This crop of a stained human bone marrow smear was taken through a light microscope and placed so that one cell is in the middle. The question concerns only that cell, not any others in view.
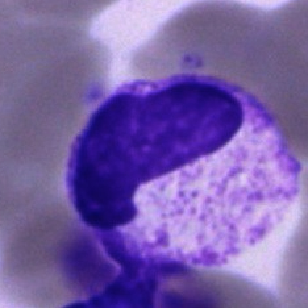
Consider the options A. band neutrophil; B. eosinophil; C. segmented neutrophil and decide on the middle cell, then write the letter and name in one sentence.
The correct option is A, as the central cell is a band neutrophil.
